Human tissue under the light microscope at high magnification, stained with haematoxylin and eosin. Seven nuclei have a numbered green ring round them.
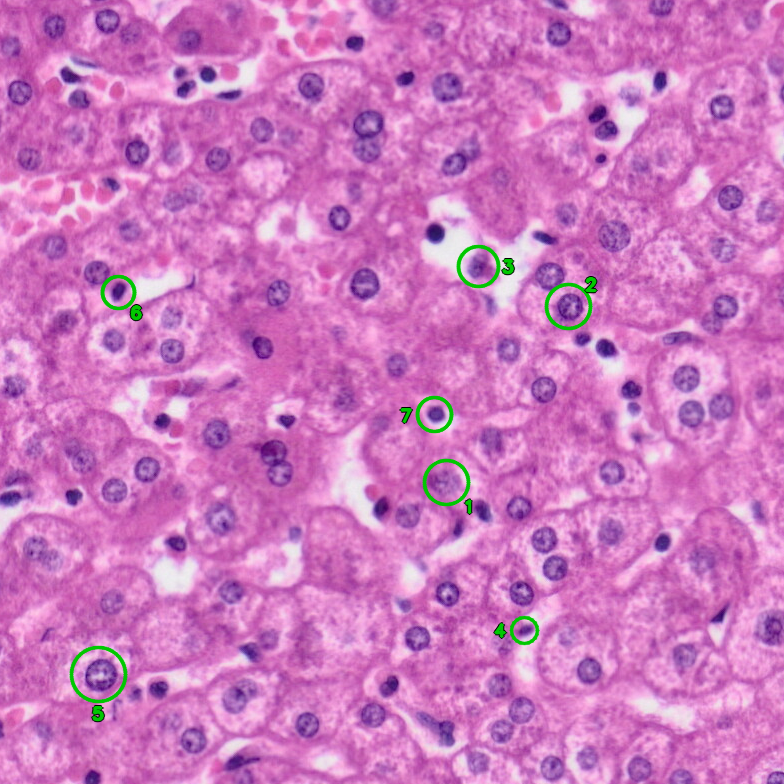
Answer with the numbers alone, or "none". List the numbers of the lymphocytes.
4, 6, 7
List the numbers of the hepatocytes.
1, 2, 5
